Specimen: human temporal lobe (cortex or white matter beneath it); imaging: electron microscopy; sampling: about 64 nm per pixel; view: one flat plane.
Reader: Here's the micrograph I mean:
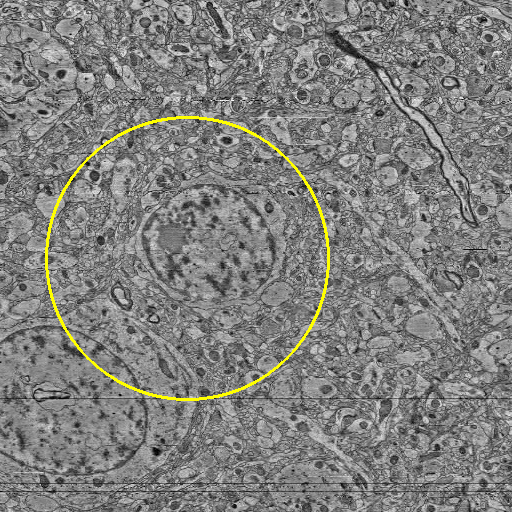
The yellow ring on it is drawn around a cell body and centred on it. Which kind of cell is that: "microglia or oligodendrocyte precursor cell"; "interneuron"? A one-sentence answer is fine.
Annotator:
The ring is centred on an interneuron.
